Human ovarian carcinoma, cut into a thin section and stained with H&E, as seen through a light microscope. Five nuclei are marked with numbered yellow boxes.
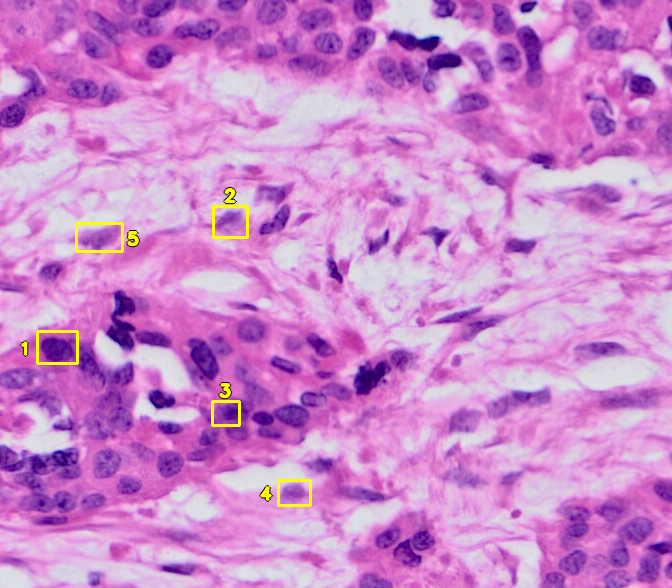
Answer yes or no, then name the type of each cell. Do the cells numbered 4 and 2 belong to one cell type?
Yes, cells 4 and 2 are both classed as fibroblasts.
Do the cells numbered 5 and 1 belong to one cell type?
No, cell 5 counts as a fibroblast, and cell 1 counts as a carcinoma cell.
